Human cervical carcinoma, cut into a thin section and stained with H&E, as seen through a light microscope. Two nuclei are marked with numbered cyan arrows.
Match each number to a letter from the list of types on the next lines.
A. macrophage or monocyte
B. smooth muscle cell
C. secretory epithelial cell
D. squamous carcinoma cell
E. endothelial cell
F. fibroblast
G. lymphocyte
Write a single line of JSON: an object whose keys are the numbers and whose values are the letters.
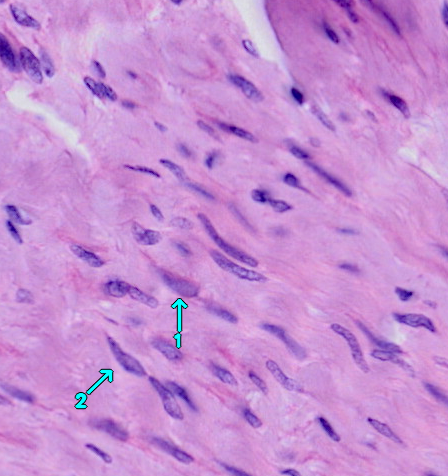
{"1": "B", "2": "F"}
